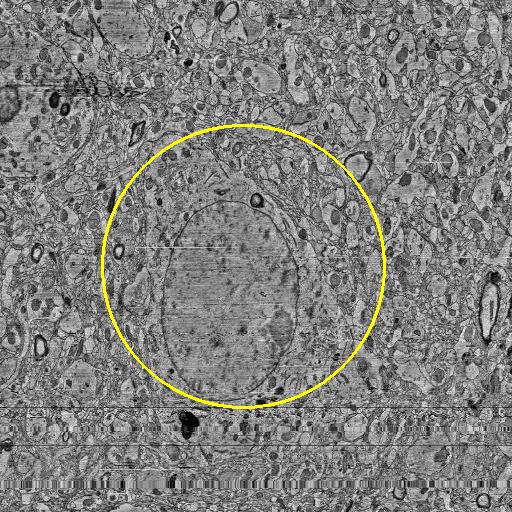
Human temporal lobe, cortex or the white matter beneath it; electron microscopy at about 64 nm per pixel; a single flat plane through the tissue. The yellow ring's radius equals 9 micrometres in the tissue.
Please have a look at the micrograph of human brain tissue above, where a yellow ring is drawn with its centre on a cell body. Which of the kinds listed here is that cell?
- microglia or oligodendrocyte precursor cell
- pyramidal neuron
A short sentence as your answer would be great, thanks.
At the centre of the ring sits a pyramidal neuron.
